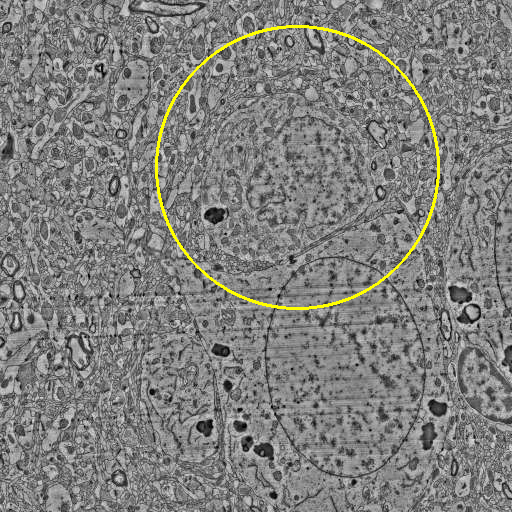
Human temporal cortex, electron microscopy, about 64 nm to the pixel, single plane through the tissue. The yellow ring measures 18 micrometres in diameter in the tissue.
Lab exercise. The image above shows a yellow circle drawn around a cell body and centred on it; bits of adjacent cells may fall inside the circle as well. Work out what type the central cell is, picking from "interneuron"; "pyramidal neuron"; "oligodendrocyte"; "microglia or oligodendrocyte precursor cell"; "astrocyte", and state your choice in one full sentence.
In the image above, the cell at the centre of the yellow circle is an interneuron.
